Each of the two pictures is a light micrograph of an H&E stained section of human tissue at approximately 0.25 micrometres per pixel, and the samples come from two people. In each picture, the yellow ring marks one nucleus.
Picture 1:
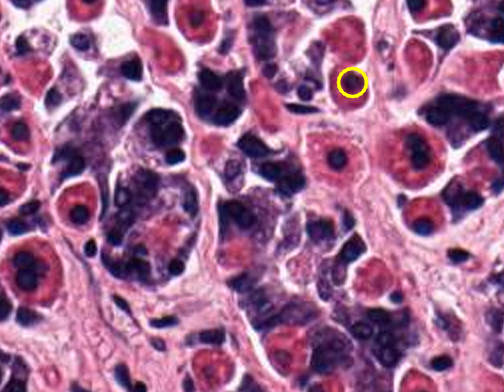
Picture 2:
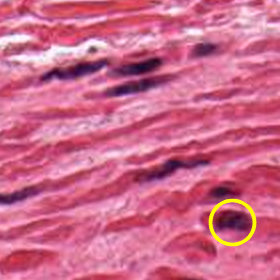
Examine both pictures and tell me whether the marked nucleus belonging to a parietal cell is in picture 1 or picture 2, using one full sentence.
The marked nucleus belongs to a parietal cell in picture 1 but not in the other picture.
